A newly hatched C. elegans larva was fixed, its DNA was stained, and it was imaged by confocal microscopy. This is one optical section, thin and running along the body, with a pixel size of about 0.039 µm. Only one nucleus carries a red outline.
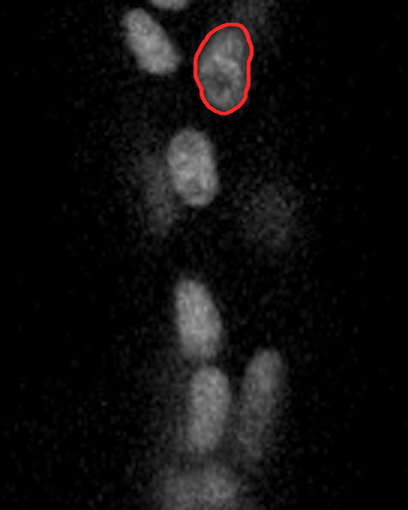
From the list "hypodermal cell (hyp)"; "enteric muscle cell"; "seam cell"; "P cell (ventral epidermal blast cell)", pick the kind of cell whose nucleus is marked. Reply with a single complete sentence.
The cell with the marked nucleus is a hypodermal cell (hyp).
